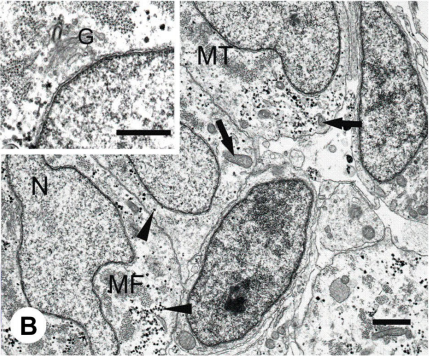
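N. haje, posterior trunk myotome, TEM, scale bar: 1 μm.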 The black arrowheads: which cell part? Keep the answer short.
glycogen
